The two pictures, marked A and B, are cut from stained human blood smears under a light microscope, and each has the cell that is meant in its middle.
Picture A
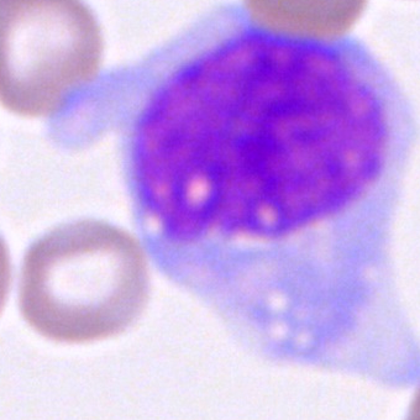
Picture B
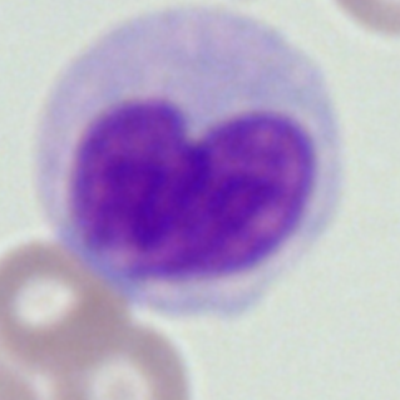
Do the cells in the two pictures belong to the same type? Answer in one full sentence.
Yes; the cells in both pictures are monocytes.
